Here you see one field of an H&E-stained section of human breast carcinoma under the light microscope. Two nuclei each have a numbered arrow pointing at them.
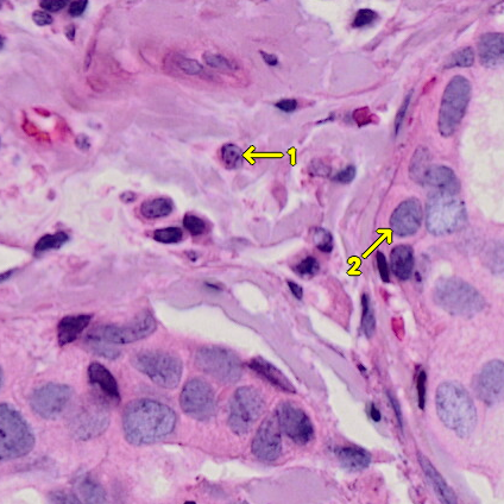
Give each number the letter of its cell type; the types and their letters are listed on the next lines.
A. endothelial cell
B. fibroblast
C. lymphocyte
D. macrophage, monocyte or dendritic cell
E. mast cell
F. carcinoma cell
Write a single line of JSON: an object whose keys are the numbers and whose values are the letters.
{"1": "E", "2": "F"}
